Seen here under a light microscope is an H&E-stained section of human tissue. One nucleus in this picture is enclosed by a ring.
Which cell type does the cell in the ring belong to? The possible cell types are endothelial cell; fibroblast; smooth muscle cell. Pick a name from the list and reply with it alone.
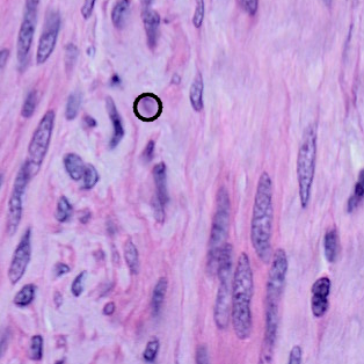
smooth muscle cell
